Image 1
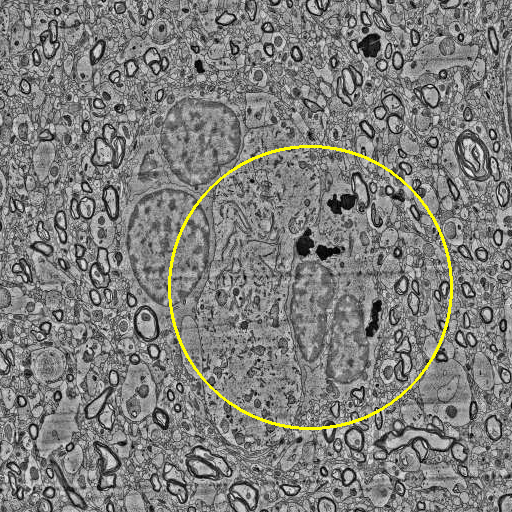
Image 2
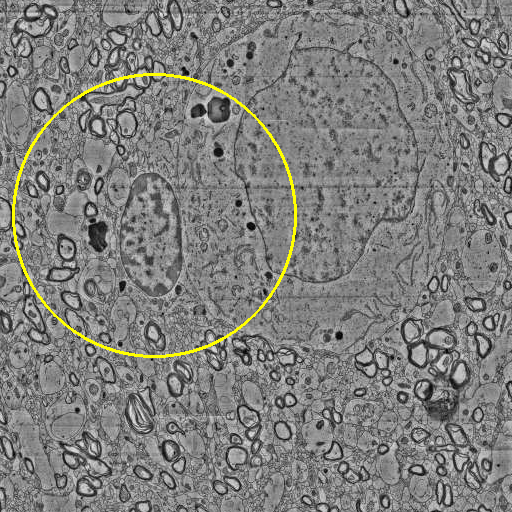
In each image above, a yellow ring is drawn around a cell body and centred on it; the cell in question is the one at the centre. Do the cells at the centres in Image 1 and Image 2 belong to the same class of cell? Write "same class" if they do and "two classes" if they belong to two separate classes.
two classes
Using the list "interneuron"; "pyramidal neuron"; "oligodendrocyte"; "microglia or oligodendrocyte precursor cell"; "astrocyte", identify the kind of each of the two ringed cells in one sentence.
The first is an oligodendrocyte and the second is a microglial cell or oligodendrocyte precursor cell.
